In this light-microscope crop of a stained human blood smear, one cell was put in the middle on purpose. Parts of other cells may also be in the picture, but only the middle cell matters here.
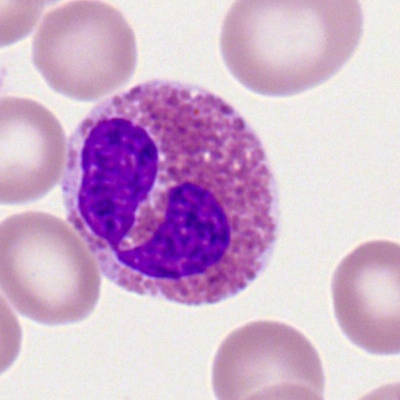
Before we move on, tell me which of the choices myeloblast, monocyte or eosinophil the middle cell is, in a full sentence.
The center cell of this crop is an eosinophil.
